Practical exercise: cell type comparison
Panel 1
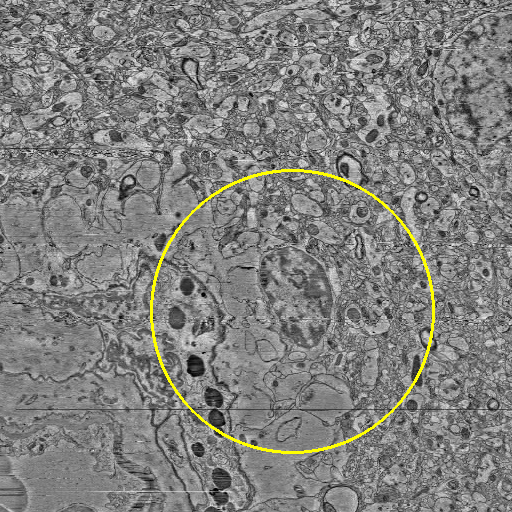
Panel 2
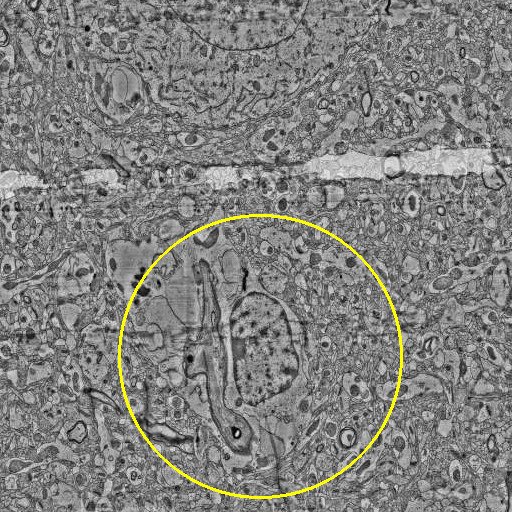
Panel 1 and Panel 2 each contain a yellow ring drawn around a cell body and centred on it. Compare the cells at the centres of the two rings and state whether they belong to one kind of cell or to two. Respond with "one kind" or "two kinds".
one kind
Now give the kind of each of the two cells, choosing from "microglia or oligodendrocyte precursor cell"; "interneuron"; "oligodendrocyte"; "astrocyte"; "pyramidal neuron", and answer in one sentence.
Each of the two pictures has a microglial cell or oligodendrocyte precursor cell at the ring centre.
